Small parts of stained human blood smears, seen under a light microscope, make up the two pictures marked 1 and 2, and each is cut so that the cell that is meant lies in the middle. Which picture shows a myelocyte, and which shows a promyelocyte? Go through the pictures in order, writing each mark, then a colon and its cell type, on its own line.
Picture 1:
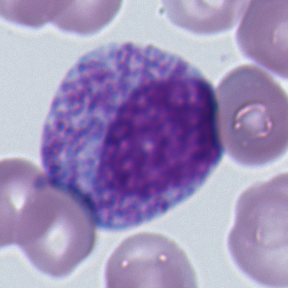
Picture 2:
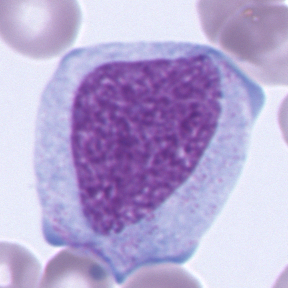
1: myelocyte
2: promyelocyte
